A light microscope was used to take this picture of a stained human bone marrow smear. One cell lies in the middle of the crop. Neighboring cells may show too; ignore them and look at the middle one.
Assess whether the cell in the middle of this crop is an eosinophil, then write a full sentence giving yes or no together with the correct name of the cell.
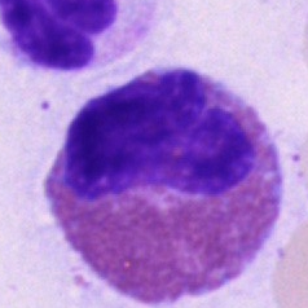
Yes, that is right: the middle cell is an eosinophil.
